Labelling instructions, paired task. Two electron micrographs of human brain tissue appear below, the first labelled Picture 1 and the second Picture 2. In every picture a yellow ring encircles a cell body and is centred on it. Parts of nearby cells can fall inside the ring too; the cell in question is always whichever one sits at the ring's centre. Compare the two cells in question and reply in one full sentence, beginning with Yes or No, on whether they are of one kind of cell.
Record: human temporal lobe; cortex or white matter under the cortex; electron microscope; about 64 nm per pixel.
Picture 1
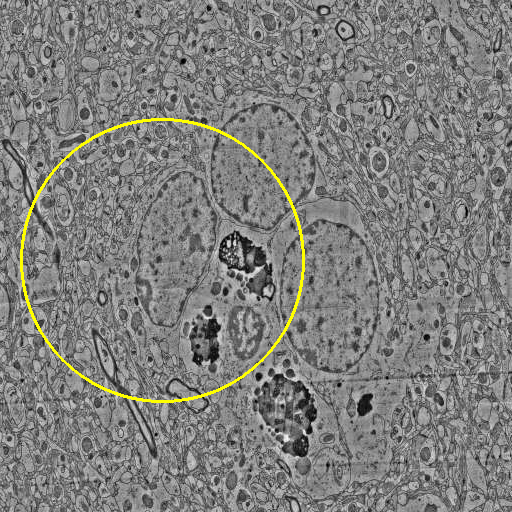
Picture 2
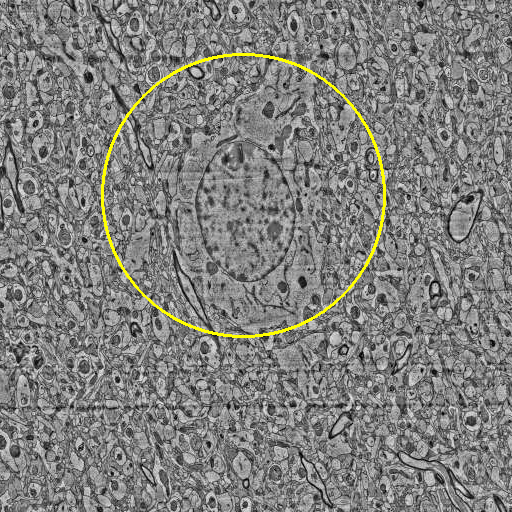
Yes, the two cells at the ring centres in Picture 1 and Picture 2 are of one kind.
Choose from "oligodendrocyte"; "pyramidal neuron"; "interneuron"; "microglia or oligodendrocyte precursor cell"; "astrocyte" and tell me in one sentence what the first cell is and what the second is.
The ring centre holds an astrocyte in each of the two pictures.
